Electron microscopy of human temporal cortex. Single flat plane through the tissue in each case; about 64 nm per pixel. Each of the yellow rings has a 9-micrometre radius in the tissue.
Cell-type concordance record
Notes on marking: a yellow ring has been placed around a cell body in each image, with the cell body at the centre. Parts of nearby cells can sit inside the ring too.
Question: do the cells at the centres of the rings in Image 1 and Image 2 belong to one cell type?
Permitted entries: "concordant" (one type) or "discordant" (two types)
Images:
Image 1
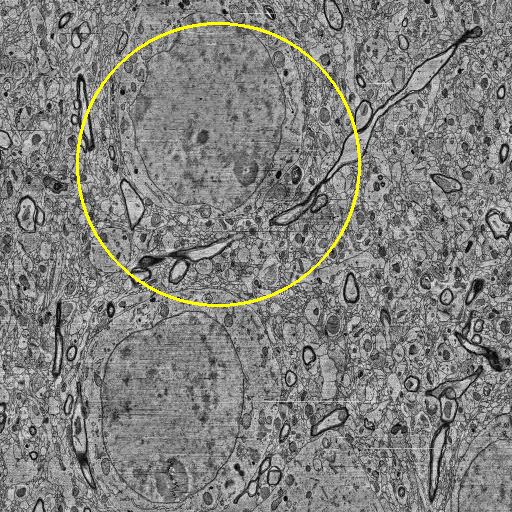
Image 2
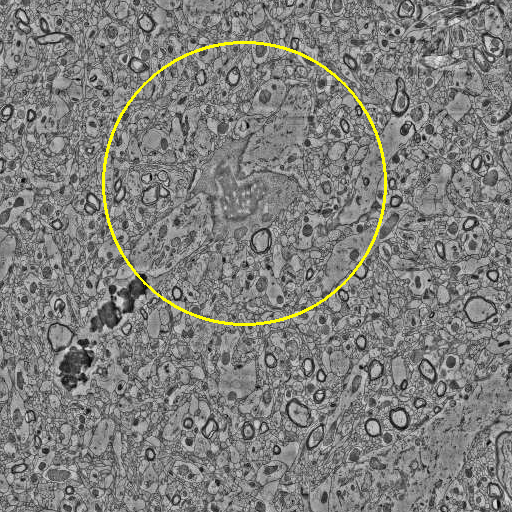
discordant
